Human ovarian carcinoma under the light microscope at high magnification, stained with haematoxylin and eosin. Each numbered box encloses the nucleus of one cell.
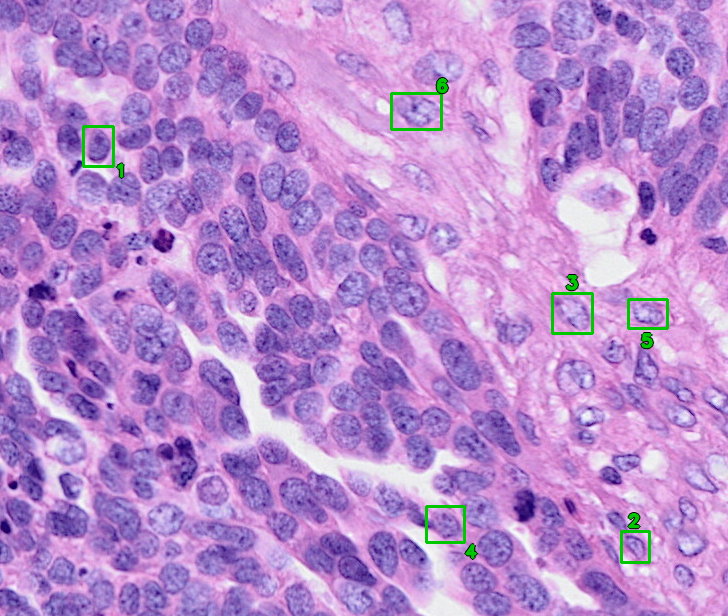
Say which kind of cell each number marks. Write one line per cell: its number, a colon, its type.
1: carcinoma cell
2: fibroblast
3: fibroblast
4: carcinoma cell
5: fibroblast
6: fibroblast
